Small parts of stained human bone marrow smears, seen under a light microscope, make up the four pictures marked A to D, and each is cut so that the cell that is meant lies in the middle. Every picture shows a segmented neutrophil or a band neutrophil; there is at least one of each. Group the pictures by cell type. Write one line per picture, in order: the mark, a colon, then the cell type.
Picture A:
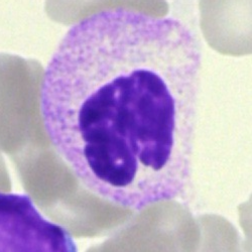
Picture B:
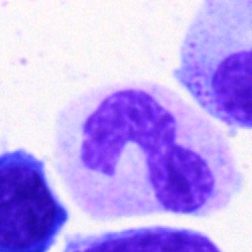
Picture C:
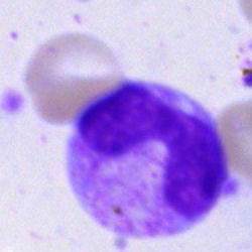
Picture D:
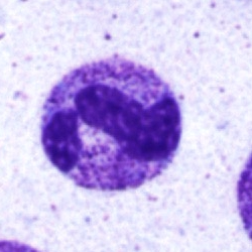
A: segmented neutrophil
B: band neutrophil
C: band neutrophil
D: segmented neutrophil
